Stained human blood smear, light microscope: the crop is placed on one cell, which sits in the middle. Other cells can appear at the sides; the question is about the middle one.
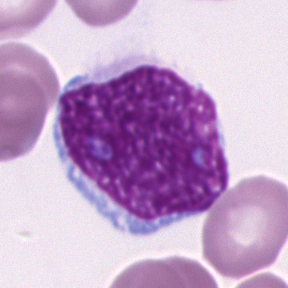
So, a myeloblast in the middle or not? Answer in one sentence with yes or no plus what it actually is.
Yes, at the centre of the crop lies a myeloblast.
